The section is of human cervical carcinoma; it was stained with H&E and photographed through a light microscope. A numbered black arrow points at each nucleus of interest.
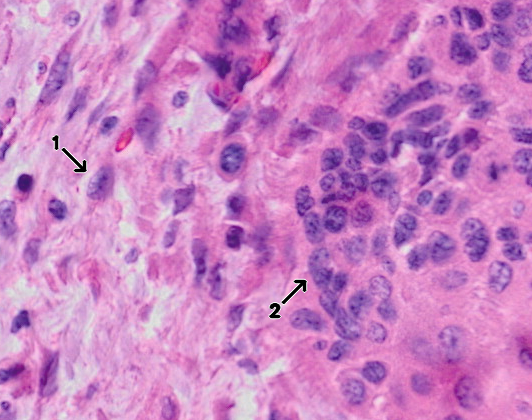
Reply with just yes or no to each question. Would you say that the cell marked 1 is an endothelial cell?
yes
